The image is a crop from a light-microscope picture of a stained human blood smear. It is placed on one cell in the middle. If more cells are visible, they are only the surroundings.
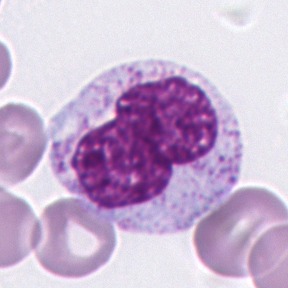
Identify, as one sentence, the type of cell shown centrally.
For this crop, the cell in the middle is a band neutrophil.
